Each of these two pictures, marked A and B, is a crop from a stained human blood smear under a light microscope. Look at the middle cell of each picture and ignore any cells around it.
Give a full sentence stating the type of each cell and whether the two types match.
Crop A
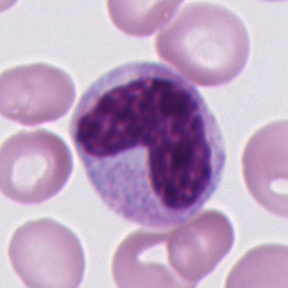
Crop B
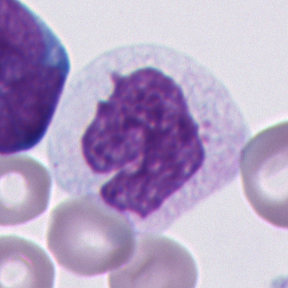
Yes, that holds, both crops show band neutrophils.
